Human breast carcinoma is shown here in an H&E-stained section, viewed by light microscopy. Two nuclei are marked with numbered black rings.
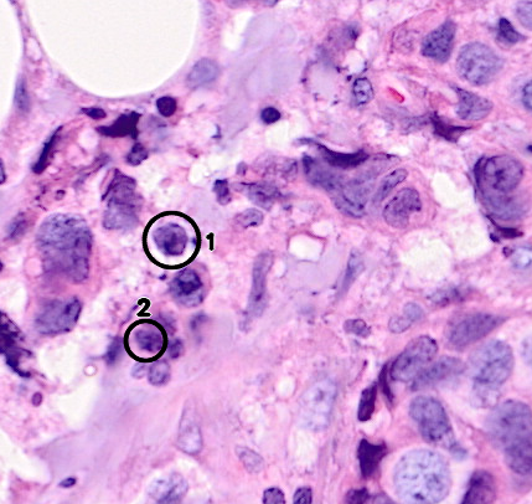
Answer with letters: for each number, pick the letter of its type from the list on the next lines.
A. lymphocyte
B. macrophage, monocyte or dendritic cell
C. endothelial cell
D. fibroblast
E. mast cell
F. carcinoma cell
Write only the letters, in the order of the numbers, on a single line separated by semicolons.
F; A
